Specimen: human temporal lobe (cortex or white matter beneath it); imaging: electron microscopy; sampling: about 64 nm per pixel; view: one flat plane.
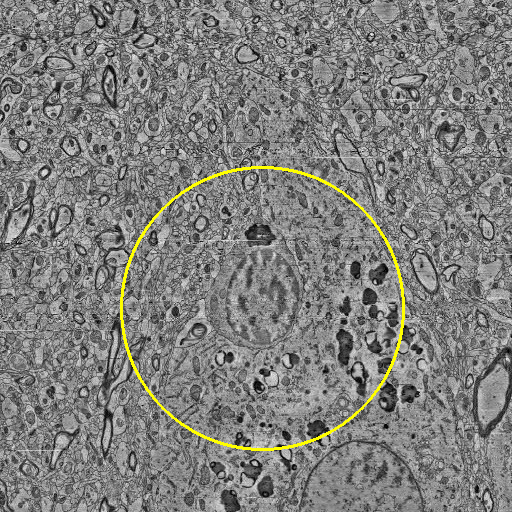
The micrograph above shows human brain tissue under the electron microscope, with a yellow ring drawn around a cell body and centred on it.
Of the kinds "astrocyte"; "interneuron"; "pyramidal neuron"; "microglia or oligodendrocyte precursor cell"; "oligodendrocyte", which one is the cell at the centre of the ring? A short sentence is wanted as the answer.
The one at the centre of the ring is an oligodendrocyte.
